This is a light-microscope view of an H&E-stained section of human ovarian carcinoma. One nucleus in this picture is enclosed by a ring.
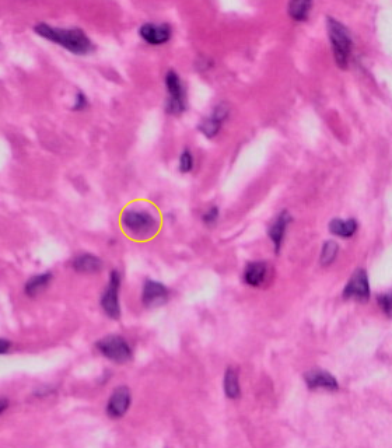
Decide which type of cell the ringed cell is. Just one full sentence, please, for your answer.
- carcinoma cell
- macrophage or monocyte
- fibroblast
At the level of cell identity, the ringed cell is a fibroblast.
